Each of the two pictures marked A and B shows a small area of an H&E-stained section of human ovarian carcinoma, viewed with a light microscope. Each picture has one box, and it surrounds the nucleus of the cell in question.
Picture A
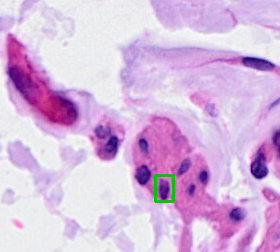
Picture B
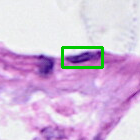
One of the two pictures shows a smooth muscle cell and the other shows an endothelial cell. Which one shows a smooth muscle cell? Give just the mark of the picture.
A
